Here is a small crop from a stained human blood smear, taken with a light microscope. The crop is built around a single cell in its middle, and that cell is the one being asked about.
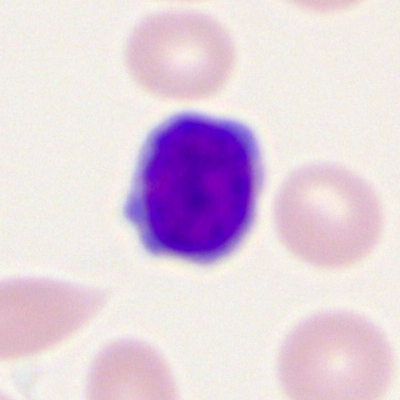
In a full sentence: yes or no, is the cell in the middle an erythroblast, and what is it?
No, the middle one is a lymphocyte rather than an erythroblast.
